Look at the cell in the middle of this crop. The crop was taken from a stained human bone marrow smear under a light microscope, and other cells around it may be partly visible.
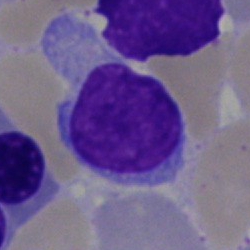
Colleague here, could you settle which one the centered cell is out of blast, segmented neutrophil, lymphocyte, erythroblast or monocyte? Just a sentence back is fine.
For this crop, the central cell is a lymphocyte.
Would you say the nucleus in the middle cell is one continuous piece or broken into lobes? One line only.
Have a look at the nucleus, which is one compact mass, round, oval or kidney-shaped.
